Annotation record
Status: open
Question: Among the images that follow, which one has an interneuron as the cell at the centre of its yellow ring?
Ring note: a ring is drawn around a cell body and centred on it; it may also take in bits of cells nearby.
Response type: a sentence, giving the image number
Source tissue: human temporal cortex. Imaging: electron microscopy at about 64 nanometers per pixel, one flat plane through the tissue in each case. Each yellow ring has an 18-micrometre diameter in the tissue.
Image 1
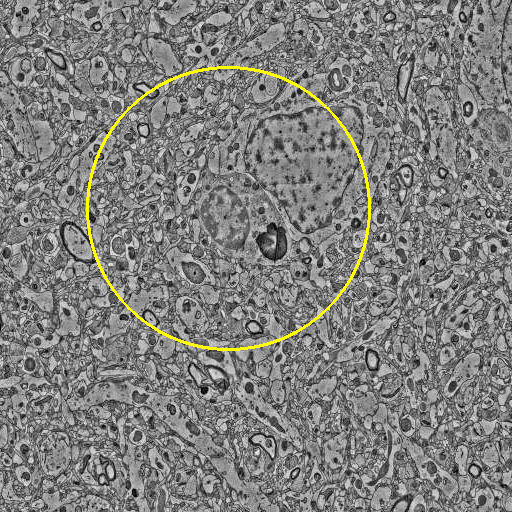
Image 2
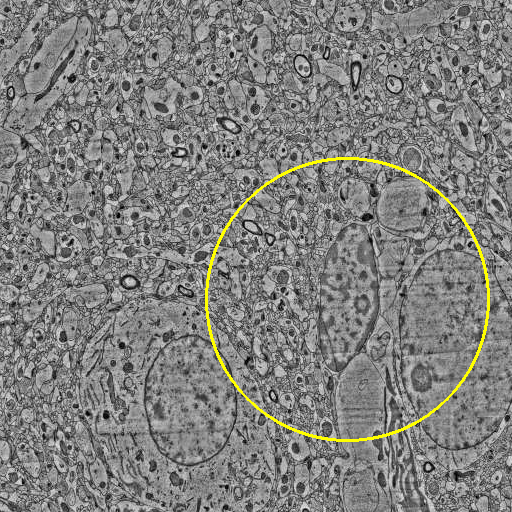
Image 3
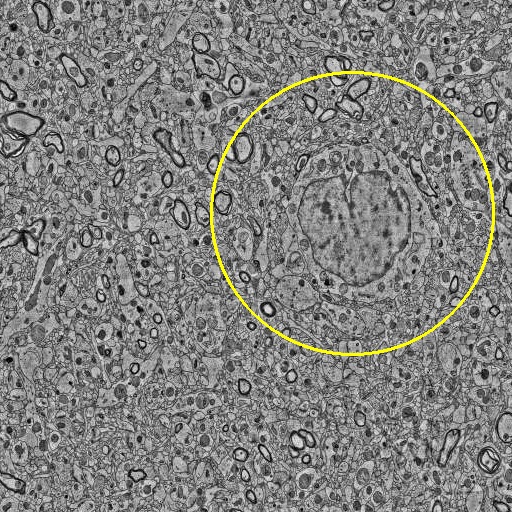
Image 3 shows it at the centre of its ring.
